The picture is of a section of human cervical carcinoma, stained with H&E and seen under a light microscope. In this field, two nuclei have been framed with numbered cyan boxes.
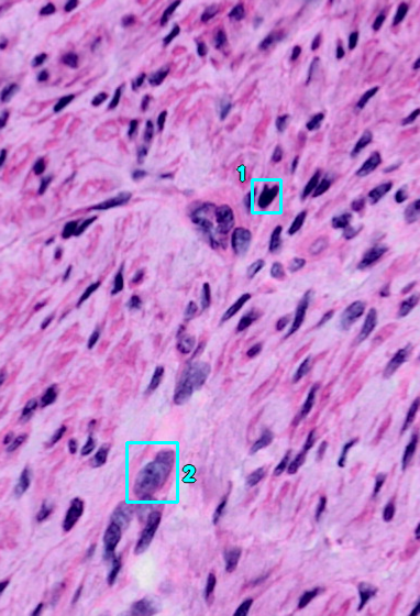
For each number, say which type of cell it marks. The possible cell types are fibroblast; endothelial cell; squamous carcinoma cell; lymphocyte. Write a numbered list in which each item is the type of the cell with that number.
1. lymphocyte
2. endothelial cell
